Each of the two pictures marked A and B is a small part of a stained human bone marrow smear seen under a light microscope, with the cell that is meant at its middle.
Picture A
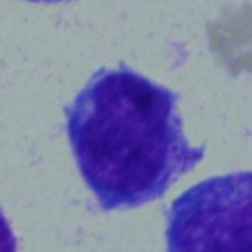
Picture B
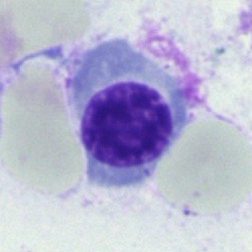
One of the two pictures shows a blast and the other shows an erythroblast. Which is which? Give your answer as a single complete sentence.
It is picture A that shows a blast, and picture B that shows an erythroblast.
